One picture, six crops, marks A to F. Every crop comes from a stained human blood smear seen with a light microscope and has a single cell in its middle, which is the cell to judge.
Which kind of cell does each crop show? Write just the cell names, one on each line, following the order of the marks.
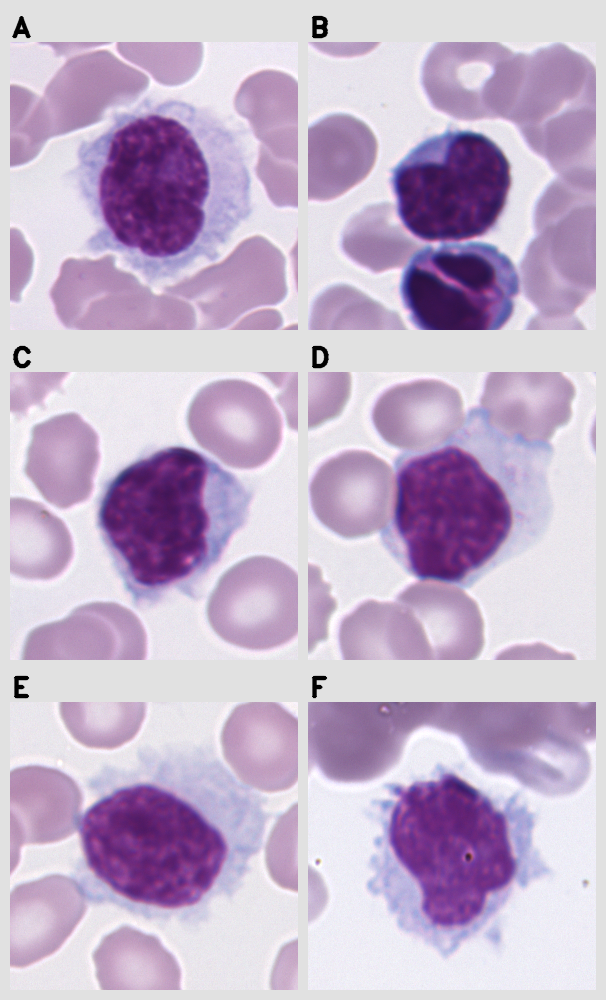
hairy cell
typical lymphocyte
hairy cell
typical lymphocyte
hairy cell
hairy cell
